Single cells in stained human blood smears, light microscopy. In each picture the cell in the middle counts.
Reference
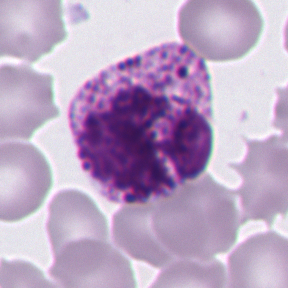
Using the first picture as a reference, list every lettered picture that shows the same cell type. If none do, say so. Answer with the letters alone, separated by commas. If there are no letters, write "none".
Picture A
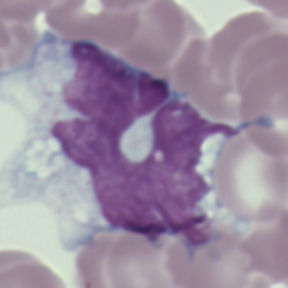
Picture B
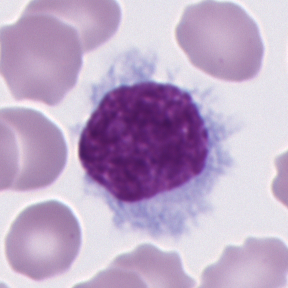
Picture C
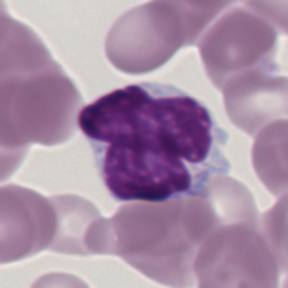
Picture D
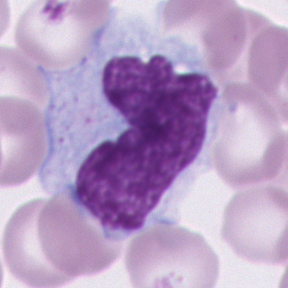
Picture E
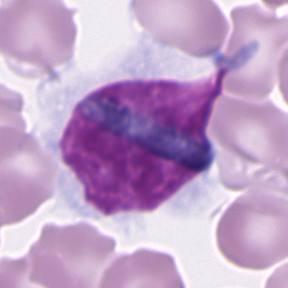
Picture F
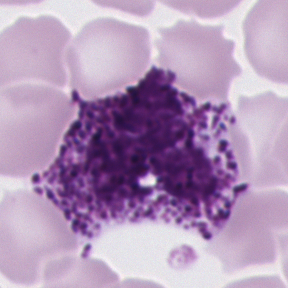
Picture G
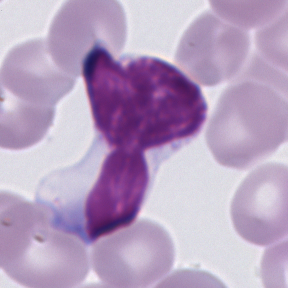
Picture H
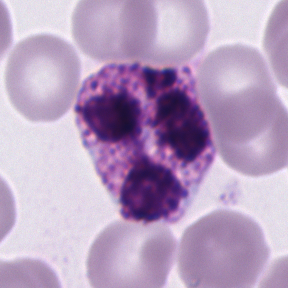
F, H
